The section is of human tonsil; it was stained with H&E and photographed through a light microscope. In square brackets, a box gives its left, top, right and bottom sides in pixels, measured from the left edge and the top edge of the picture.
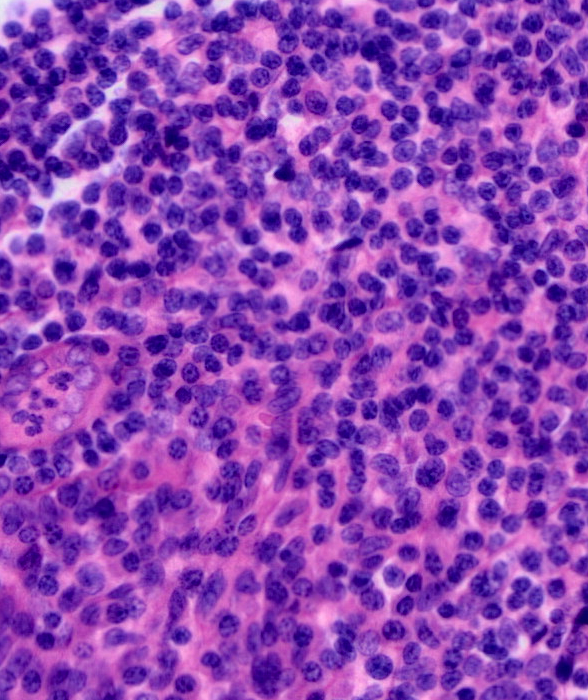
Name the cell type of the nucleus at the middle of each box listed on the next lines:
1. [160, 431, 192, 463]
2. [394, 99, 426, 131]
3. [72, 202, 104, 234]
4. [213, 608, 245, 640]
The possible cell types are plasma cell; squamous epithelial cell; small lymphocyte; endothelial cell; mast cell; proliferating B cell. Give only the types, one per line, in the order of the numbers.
plasma cell
small lymphocyte
small lymphocyte
plasma cell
